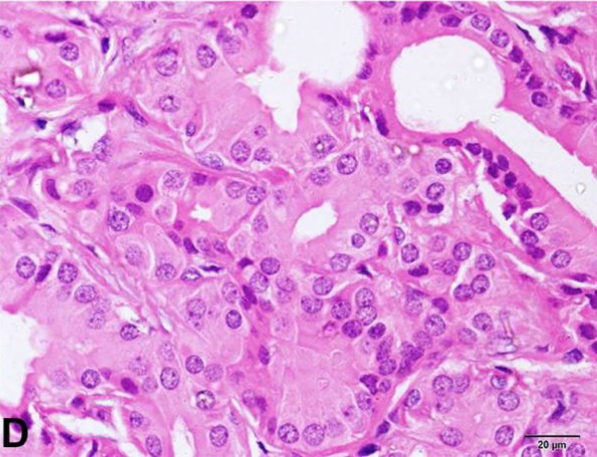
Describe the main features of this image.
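High power view of a glandular lesion built of oncocytes lining small open glandular spaces. The cells are large and polygonal to tall, with abundant pink, finely granular cytoplasm that fills most of each cell. Along the upper right a space is lined by a row of cells with darker, more elongated nuclei. The clear lumens are empty or hold a little pale material, and thin strands of fibrous tissue separate groups of cells.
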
